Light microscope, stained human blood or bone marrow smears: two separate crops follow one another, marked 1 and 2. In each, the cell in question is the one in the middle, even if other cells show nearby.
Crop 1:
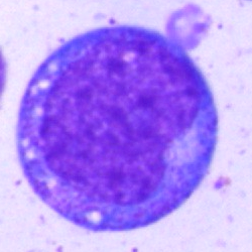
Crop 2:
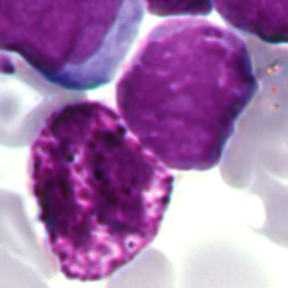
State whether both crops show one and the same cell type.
no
